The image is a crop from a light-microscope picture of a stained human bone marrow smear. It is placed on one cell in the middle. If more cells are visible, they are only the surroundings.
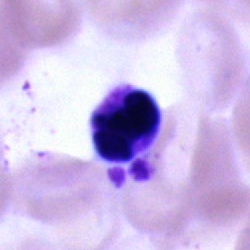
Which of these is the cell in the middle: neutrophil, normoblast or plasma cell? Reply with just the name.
neutrophil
